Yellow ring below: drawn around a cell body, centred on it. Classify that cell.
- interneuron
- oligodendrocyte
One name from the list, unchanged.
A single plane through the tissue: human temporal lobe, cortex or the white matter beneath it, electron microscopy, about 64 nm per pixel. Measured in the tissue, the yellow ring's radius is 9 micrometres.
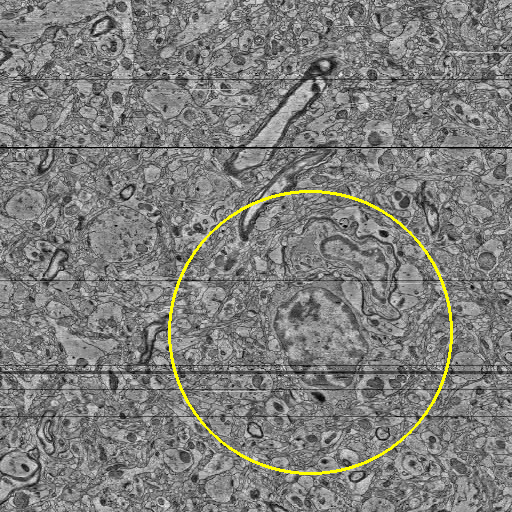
oligodendrocyte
